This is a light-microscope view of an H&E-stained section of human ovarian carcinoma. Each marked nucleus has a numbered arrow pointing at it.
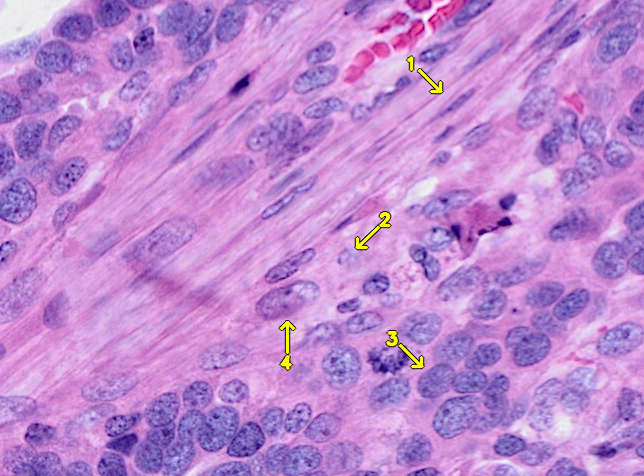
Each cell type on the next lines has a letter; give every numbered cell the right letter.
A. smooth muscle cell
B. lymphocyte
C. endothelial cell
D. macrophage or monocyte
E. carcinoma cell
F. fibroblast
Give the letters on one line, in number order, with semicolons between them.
F; F; E; F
